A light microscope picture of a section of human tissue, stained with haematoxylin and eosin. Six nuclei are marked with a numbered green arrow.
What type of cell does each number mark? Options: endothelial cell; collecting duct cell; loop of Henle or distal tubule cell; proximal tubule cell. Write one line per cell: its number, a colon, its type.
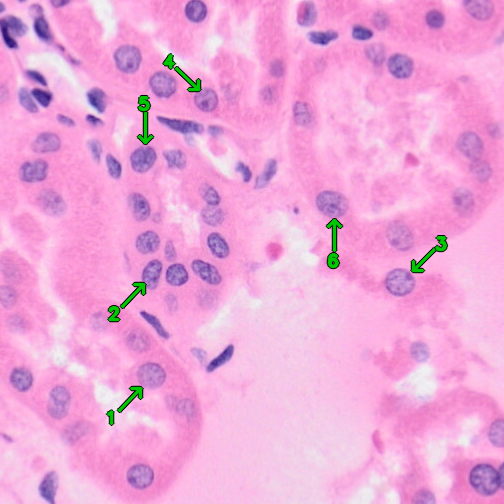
1: proximal tubule cell
2: collecting duct cell
3: proximal tubule cell
4: proximal tubule cell
5: collecting duct cell
6: proximal tubule cell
